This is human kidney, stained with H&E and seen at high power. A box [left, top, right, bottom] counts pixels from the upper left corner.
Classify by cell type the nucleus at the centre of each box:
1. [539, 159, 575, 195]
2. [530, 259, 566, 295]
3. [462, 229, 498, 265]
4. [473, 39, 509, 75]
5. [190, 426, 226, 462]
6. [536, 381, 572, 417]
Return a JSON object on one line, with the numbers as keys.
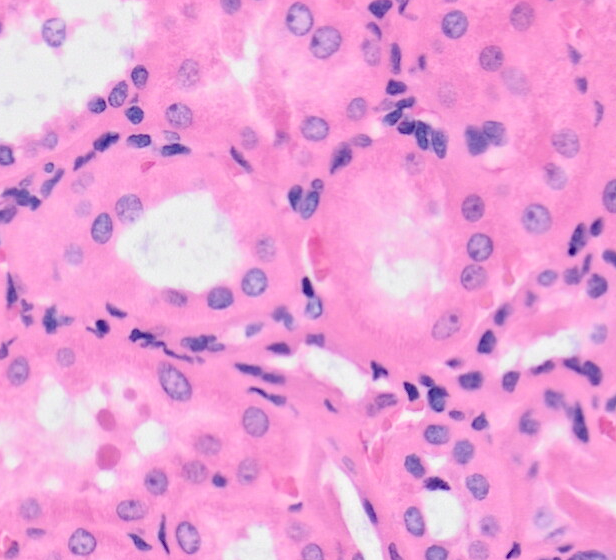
{"1": "proximal tubule cell", "2": "collecting duct cell", "3": "proximal tubule cell", "4": "proximal tubule cell", "5": "proximal tubule cell", "6": "collecting duct cell"}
